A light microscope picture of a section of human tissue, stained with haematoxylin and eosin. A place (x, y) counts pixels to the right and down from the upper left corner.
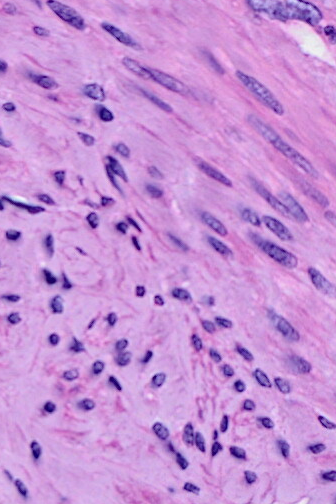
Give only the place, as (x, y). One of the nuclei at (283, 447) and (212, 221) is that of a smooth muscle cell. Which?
(212, 221)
